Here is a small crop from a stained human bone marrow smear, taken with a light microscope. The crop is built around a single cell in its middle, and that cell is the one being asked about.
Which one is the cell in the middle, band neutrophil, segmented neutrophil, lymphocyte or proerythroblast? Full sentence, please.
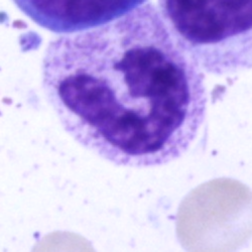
The centrally located cell in the crop is a band neutrophil.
